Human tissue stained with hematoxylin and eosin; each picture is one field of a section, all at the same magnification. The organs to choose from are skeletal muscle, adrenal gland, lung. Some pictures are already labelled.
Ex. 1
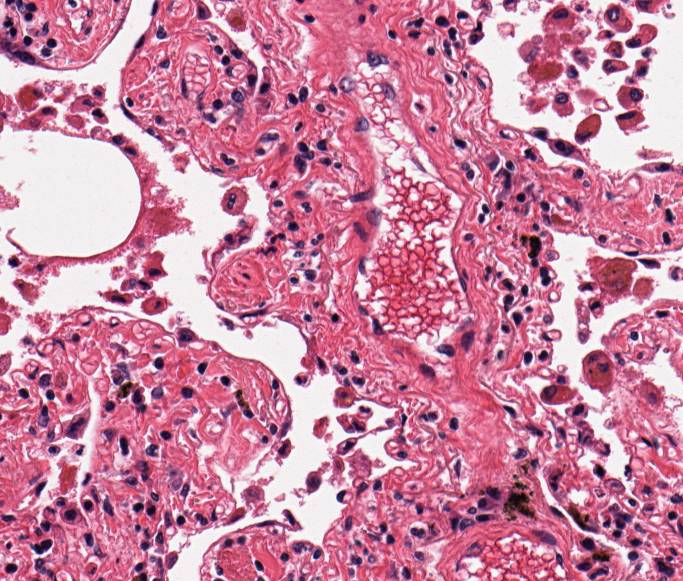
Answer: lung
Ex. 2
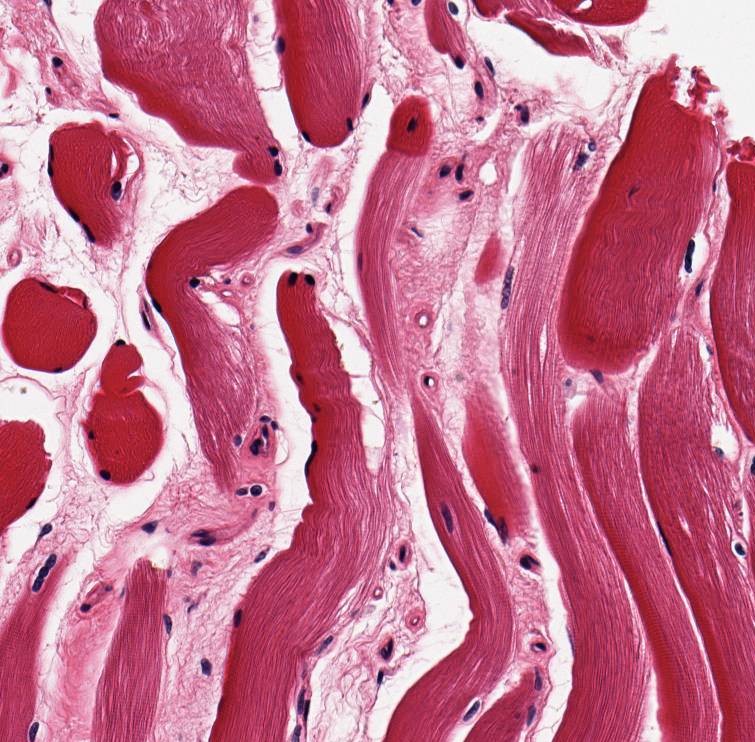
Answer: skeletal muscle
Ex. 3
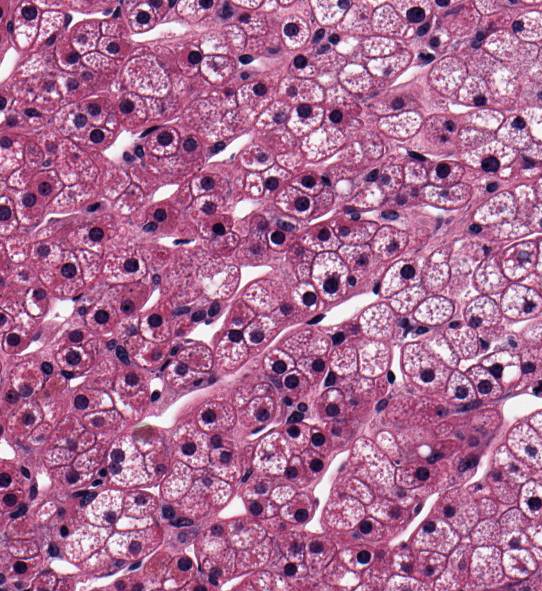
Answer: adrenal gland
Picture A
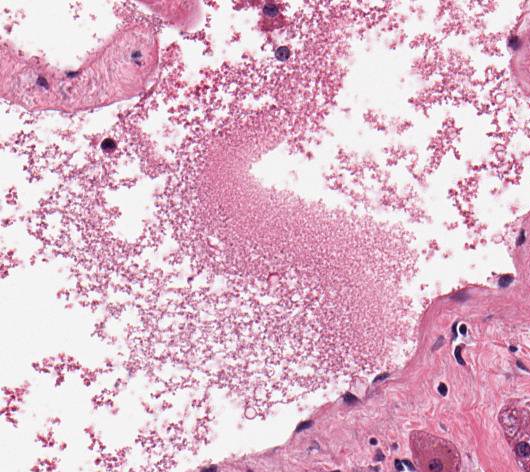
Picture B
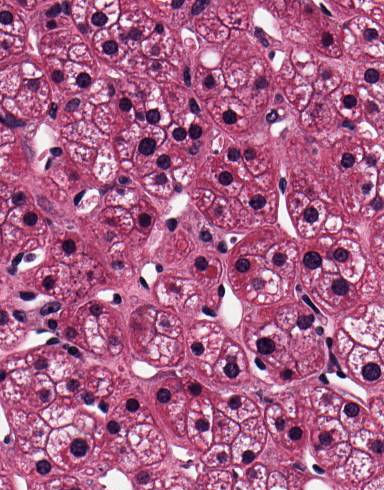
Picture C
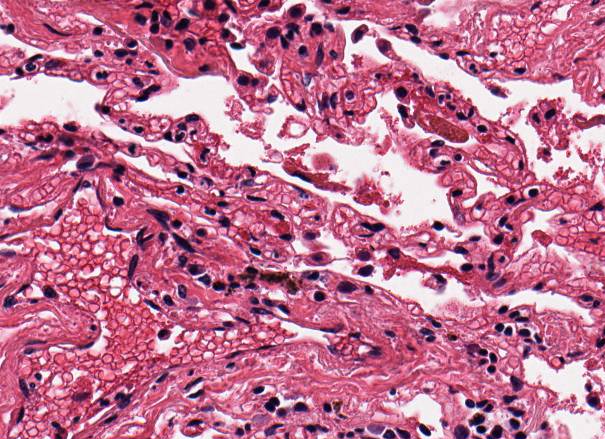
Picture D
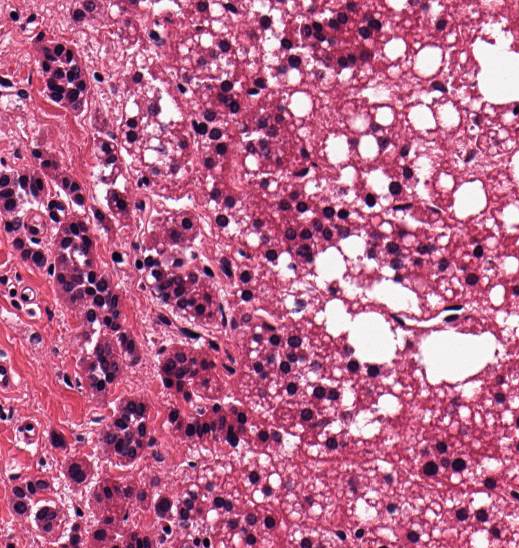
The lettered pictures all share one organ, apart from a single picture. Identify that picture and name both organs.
Exception: C, showing lung. Remaining pictures: adrenal gland.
